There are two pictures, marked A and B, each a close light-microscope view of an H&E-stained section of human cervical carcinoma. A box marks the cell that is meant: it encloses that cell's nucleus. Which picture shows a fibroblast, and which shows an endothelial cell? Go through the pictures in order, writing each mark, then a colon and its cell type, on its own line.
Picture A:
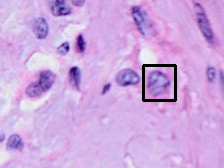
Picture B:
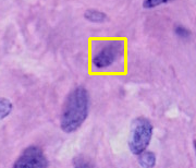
A: endothelial cell
B: fibroblast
